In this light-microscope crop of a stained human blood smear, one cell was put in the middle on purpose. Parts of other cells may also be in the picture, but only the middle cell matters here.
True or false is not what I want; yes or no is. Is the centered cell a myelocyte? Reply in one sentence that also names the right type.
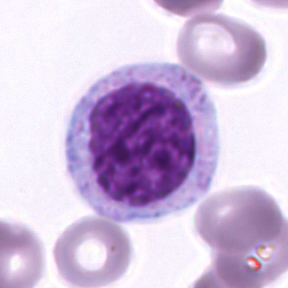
Yes, the cell in the central position is a myelocyte.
